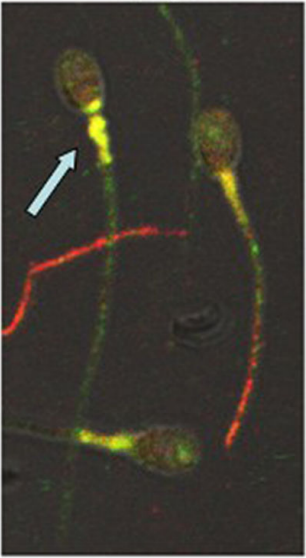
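The heads show weak mixed red and green fluorescence, while the strongest signal lies in a compact region just behind the head, at the neck and midpiece, where red and green overlap and appear bright yellow. A small tailless object in the centre shows no fluorescence. The overall pattern shows the overlapping signal concentrated at the junction between head and tail rather than over the whole cell.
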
